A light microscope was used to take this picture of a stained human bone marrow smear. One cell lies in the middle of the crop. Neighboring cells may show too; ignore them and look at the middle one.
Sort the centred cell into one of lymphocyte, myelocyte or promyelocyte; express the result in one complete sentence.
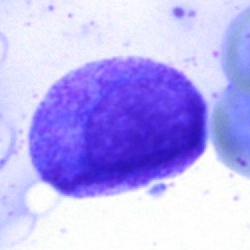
The centrally located cell in the crop is a promyelocyte.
